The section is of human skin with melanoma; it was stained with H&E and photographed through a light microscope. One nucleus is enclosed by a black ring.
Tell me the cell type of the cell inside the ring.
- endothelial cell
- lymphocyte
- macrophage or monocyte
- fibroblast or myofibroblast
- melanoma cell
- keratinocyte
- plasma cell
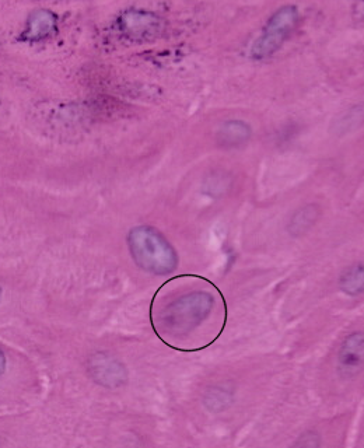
keratinocyte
